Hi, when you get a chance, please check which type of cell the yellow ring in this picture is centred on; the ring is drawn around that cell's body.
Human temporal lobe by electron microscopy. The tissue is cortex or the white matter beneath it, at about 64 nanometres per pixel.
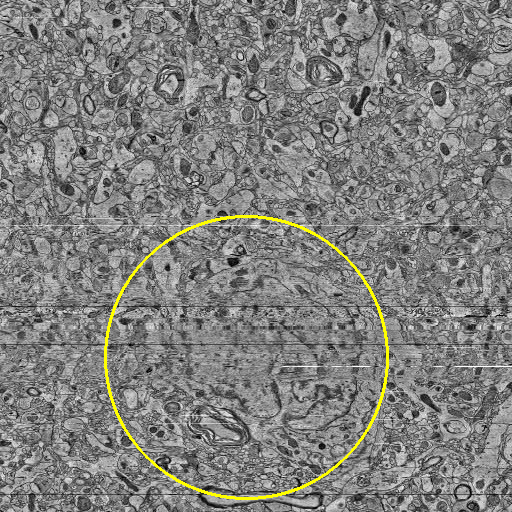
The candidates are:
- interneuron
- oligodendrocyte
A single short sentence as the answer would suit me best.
The ring is drawn around the body of an interneuron.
